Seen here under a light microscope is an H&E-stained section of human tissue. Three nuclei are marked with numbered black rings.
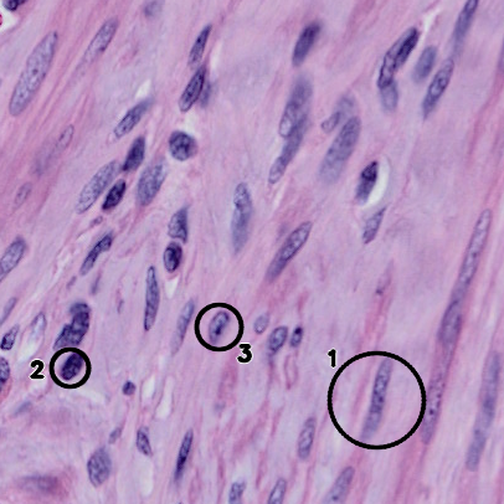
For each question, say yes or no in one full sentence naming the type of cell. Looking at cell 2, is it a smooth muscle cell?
No, cell 2 is to be classed as a lymphocyte, not a smooth muscle cell.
